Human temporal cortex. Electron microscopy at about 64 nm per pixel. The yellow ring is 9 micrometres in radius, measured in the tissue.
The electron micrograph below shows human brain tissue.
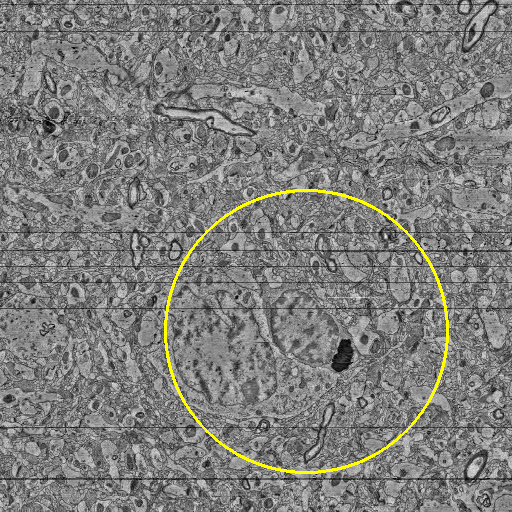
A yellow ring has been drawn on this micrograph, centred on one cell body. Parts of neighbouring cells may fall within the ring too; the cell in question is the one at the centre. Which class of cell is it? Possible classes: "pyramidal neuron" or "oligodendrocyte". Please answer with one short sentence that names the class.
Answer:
In the centre of the ring sits an oligodendrocyte.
